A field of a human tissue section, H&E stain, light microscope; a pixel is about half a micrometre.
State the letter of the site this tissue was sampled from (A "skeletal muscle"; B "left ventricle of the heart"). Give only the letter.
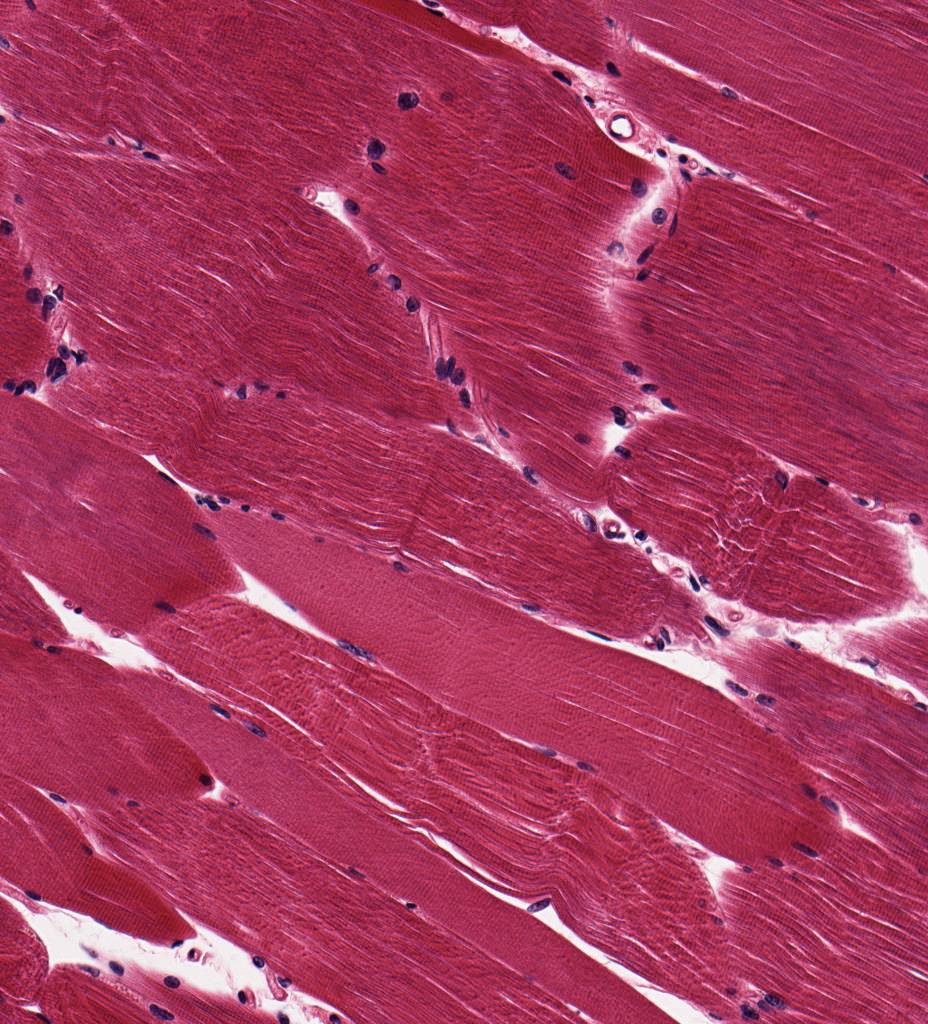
A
